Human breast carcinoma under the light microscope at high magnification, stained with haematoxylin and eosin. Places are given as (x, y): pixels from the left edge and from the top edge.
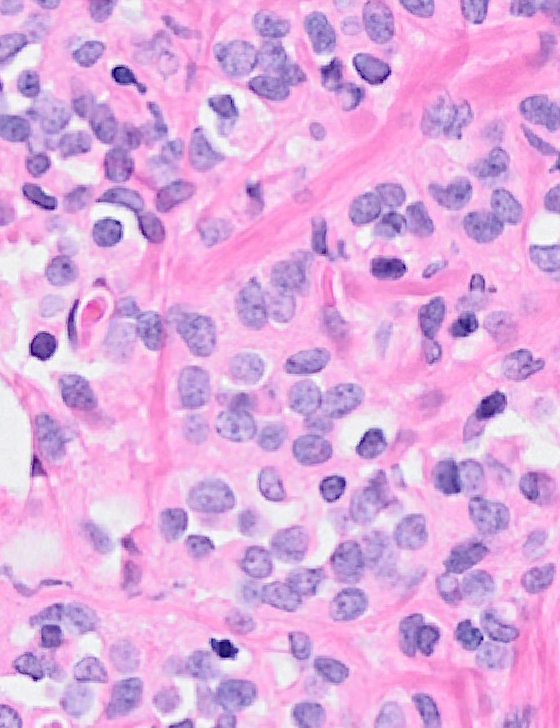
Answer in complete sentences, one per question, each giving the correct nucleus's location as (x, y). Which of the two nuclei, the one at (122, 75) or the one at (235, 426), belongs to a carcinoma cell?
The nucleus located at (235, 426) is the one held within a carcinoma cell.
